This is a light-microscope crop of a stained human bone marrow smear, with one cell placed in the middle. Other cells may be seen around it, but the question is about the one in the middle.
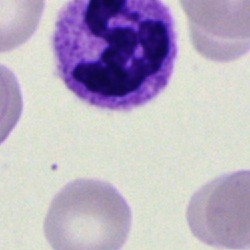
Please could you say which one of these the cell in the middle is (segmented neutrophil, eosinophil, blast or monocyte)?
segmented neutrophil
